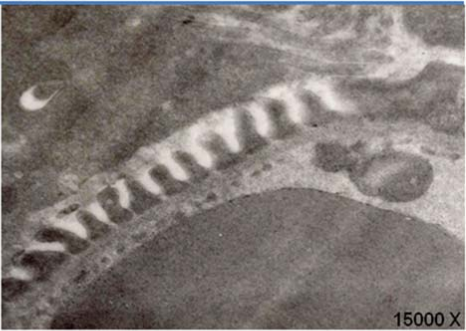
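This is a high-magnification electron micrograph of the glomerular filtration barrier, showing podocyte foot processes resting on the basement membrane. A grey band of basement membrane runs diagonally across the field. Along its upper side sits a row of small, regularly spaced cytoplasmic projections, the foot processes, separated by narrow pale gaps. Below the band lies dark, finely granular cytoplasm and a large dark rounded profile.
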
